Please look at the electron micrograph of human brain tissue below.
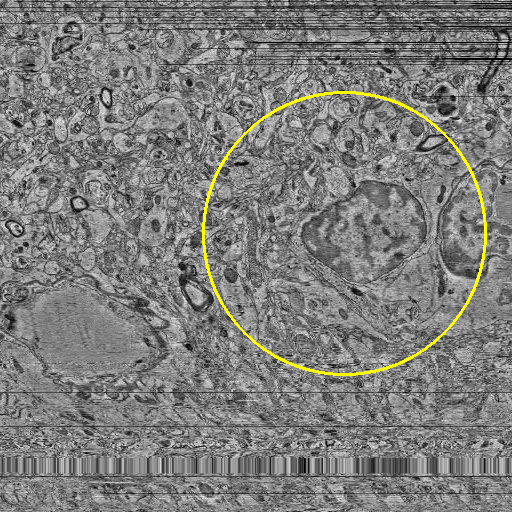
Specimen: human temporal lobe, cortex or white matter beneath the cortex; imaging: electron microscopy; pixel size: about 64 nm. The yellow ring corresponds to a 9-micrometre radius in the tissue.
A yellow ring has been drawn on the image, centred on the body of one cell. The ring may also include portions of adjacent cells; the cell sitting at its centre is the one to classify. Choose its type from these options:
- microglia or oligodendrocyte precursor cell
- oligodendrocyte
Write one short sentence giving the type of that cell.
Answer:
The cell in the middle of the ring is a microglial cell or oligodendrocyte precursor cell.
